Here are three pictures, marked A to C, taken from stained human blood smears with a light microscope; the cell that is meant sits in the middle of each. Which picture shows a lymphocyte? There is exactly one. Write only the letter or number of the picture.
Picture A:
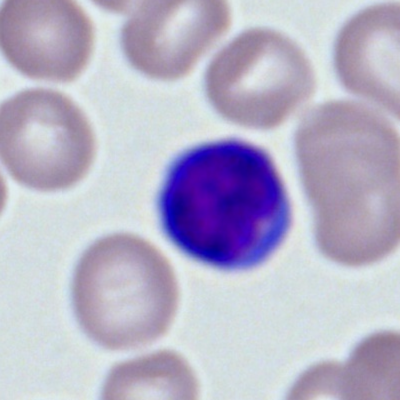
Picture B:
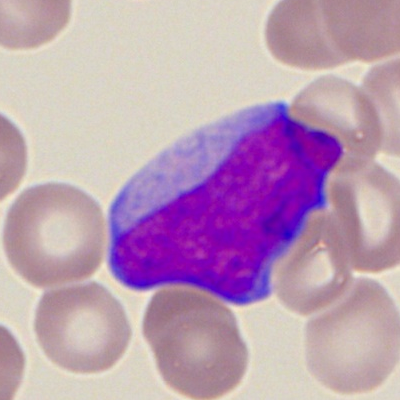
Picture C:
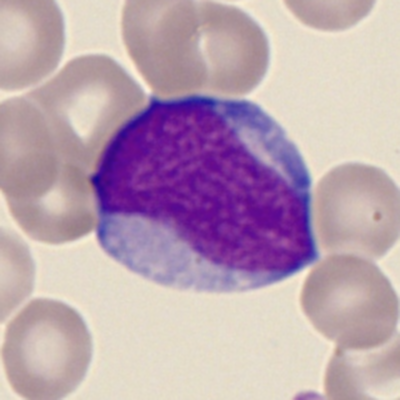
A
